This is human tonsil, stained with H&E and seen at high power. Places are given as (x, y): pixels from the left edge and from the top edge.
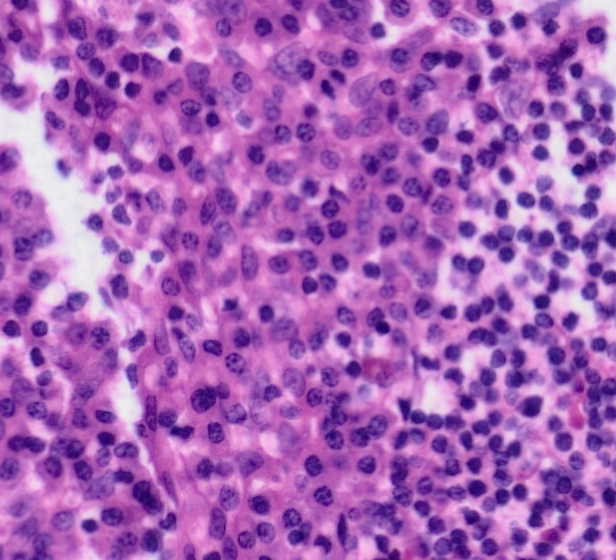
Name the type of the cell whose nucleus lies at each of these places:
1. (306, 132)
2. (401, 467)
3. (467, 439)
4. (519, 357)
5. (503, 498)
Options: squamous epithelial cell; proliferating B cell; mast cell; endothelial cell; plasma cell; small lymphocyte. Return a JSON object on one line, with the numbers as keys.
{"1": "plasma cell", "2": "plasma cell", "3": "small lymphocyte", "4": "small lymphocyte", "5": "small lymphocyte"}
